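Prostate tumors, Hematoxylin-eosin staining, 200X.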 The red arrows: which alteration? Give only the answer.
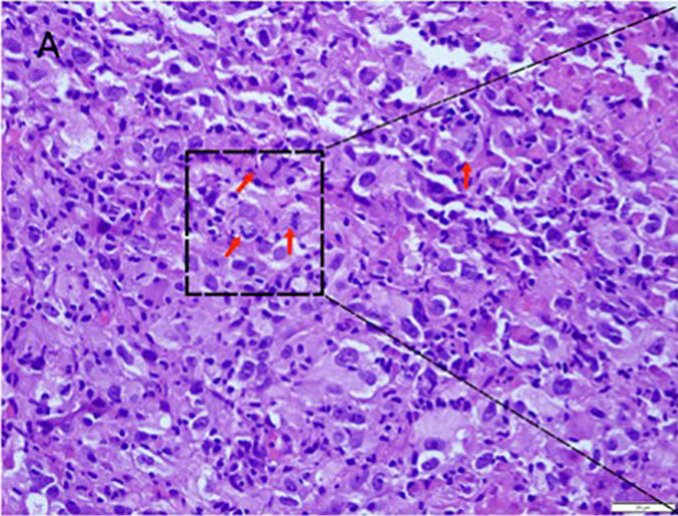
mitotic signs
